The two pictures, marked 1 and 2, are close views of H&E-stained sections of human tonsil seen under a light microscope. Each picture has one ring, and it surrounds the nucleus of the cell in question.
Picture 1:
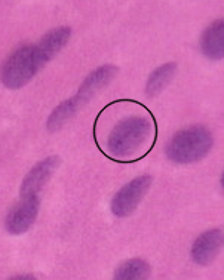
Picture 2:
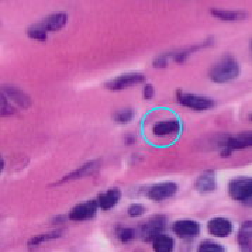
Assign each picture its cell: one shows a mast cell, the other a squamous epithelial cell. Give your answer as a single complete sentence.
Picture 1 is of a squamous epithelial cell, and picture 2 is of a mast cell.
